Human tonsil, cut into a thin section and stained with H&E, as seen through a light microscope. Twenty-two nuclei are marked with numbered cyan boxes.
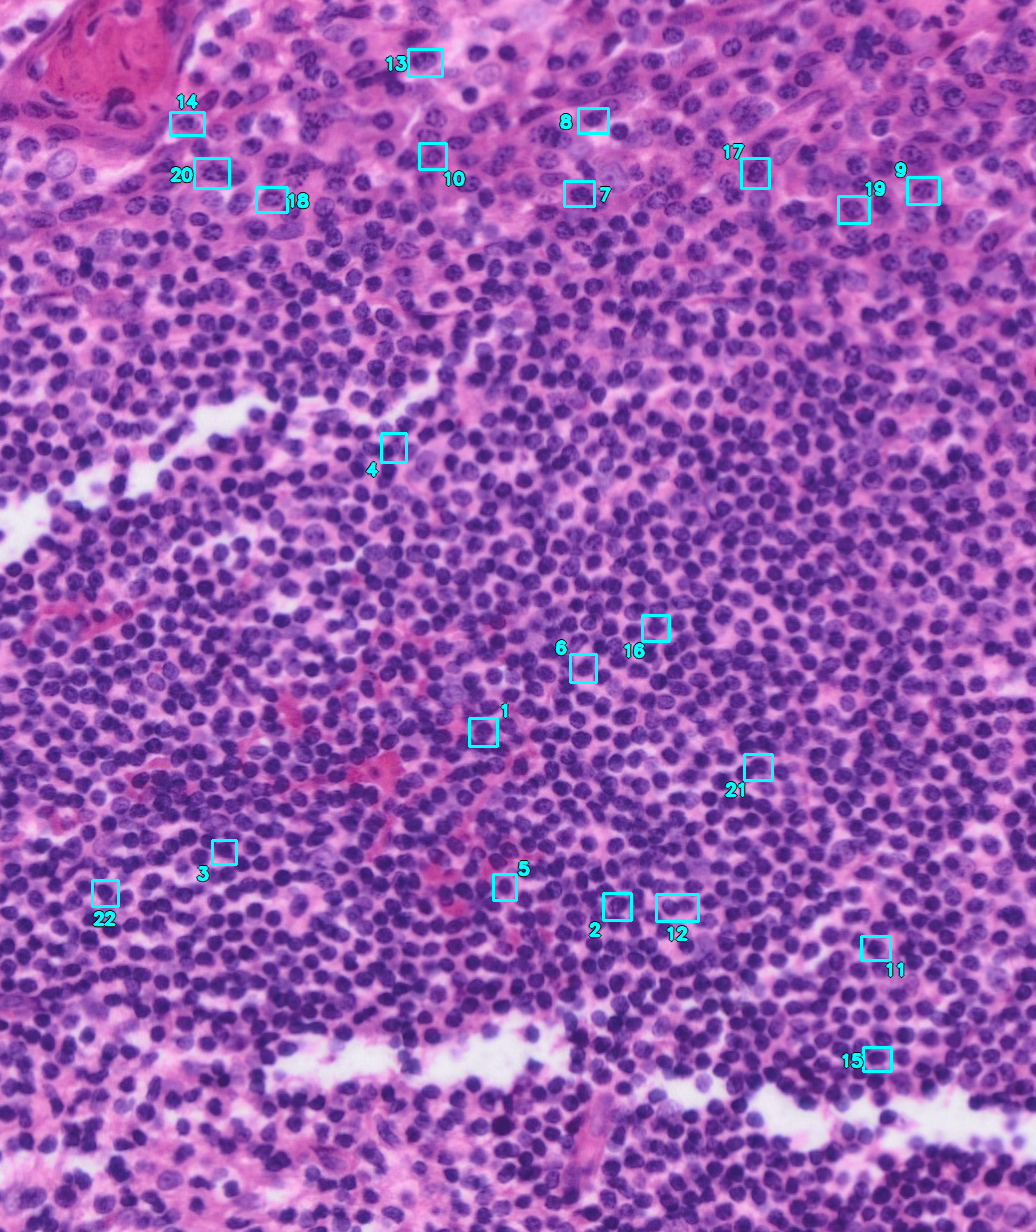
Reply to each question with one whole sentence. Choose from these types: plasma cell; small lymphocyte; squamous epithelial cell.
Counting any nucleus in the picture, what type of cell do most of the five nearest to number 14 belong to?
The majority of the five nuclei closest to number 14 belong to squamous epithelial cells.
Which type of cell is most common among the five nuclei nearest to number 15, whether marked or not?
The majority of the five nuclei closest to number 15 belong to small lymphocytes.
